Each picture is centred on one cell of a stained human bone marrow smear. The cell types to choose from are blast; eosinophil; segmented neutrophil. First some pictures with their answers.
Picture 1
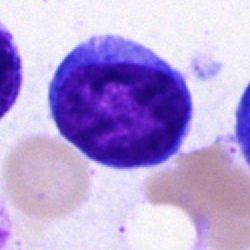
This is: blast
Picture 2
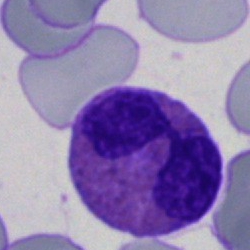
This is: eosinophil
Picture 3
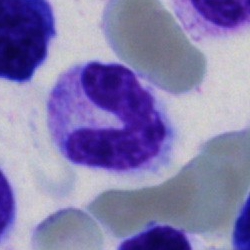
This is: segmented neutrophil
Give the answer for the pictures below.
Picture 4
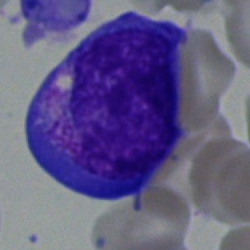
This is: blast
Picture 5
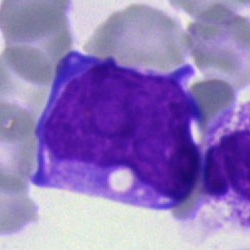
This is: blast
